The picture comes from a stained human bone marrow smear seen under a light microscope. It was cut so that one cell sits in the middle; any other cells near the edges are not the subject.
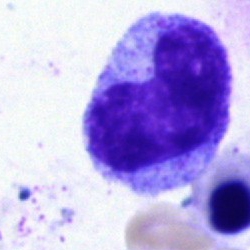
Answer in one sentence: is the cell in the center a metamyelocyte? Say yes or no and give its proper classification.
Yes, the centre of the crop holds a metamyelocyte.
